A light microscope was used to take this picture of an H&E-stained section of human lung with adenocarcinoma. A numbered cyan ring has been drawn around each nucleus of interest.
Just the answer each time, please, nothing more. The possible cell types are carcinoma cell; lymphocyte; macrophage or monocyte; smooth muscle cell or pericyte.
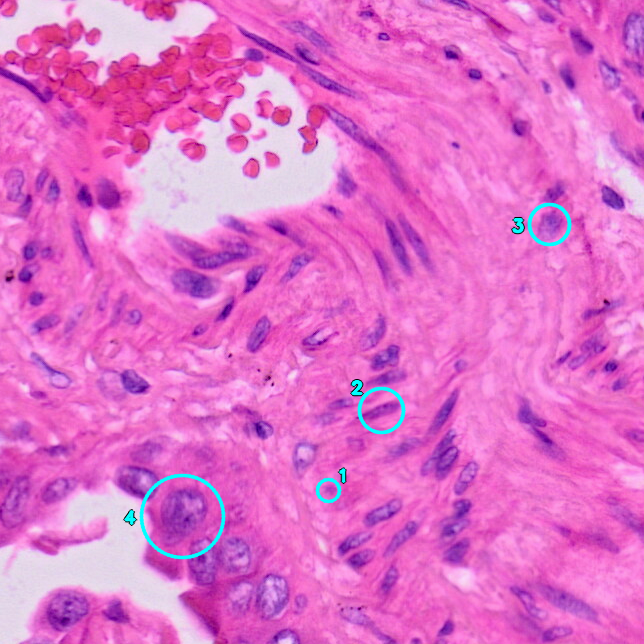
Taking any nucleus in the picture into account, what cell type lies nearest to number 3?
smooth muscle cell or pericyte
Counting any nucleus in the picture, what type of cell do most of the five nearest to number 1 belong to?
smooth muscle cell or pericyte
